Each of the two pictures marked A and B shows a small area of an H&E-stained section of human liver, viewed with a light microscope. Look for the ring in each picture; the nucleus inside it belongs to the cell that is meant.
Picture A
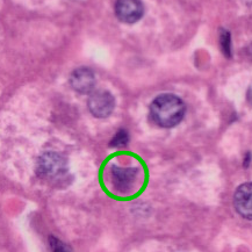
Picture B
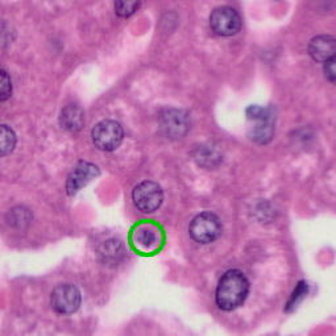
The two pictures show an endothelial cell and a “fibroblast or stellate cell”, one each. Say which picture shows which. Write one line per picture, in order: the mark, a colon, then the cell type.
A: endothelial cell
B: fibroblast or stellate cell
